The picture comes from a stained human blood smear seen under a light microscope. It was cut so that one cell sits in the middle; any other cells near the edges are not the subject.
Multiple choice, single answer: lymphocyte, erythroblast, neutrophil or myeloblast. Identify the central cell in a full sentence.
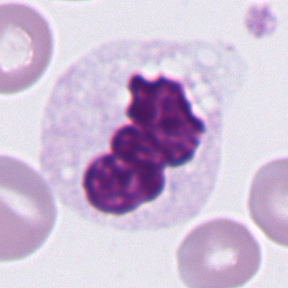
The cell in the exact centre of the crop is a neutrophil.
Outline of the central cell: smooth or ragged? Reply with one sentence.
You can see a smooth boundary, with no projections sticking out.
